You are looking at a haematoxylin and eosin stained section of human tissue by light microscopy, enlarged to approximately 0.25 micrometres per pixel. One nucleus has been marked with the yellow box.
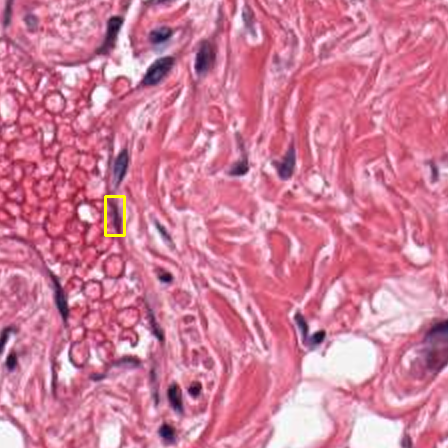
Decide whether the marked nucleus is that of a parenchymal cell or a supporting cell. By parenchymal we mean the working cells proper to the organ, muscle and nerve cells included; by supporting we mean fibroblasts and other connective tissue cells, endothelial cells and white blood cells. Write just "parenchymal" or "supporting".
supporting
